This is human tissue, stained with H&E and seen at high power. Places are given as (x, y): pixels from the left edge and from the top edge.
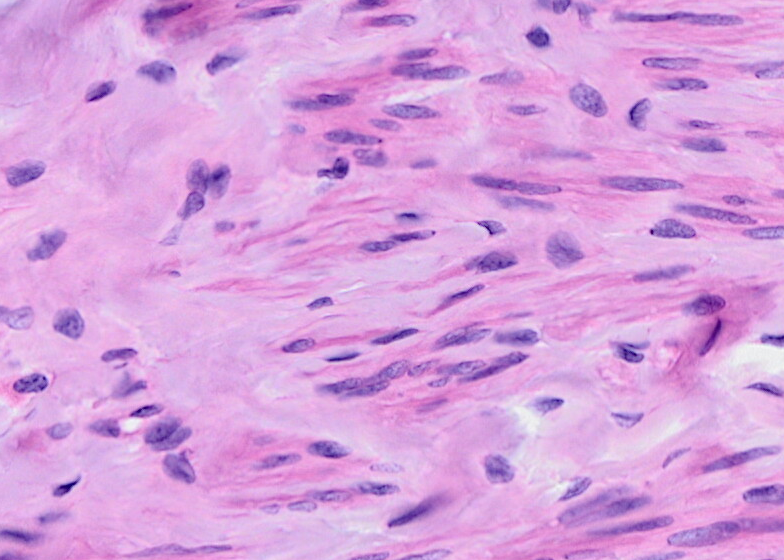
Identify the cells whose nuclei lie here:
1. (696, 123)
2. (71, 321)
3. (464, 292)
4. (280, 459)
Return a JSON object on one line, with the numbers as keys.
{"1": "smooth muscle cell", "2": "fibroblast", "3": "smooth muscle cell", "4": "smooth muscle cell"}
